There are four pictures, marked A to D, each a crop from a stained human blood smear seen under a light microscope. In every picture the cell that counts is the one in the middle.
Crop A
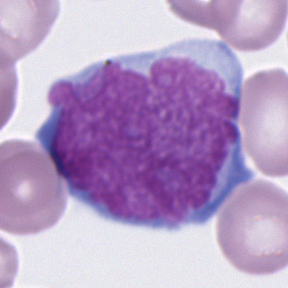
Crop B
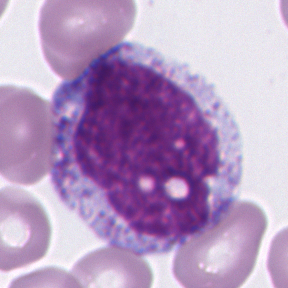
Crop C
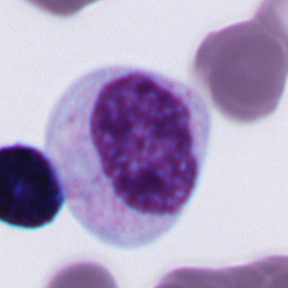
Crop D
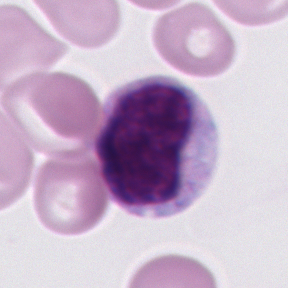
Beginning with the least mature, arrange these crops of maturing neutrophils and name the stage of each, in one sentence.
The sequence from earliest to most advanced maturity is crop A (a myeloblast), crop B (a promyelocyte), crop D (a metamyelocyte) and crop C (a band neutrophil).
